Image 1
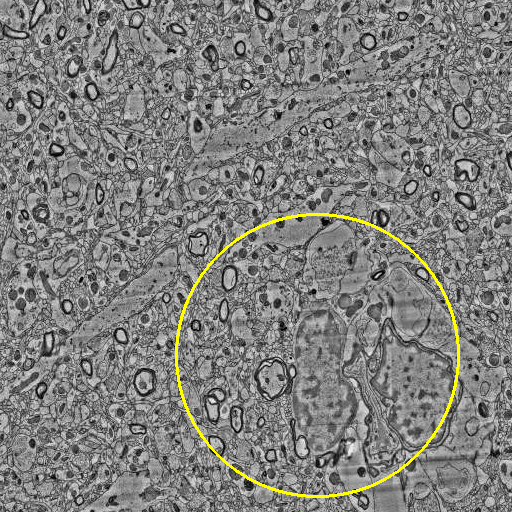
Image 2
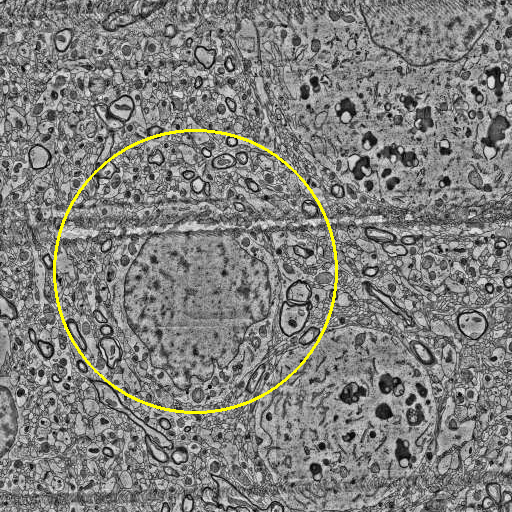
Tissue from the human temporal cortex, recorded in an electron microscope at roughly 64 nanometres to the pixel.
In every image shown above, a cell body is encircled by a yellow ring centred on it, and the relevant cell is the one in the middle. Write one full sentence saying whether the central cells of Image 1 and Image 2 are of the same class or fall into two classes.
The cell at the ring's centre in Image 1 and its counterpart in Image 2 fall into two classes.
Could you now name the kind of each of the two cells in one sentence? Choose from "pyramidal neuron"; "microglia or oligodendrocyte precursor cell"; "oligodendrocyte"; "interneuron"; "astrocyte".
The first ring encloses an oligodendrocyte; the second ring encloses an interneuron.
